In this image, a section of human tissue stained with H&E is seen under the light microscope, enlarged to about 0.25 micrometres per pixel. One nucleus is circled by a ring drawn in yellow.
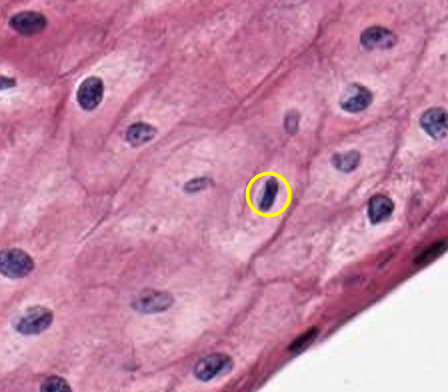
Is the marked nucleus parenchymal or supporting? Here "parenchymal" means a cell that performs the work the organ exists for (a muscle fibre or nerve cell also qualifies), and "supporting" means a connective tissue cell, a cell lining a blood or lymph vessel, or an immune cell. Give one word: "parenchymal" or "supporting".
parenchymal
